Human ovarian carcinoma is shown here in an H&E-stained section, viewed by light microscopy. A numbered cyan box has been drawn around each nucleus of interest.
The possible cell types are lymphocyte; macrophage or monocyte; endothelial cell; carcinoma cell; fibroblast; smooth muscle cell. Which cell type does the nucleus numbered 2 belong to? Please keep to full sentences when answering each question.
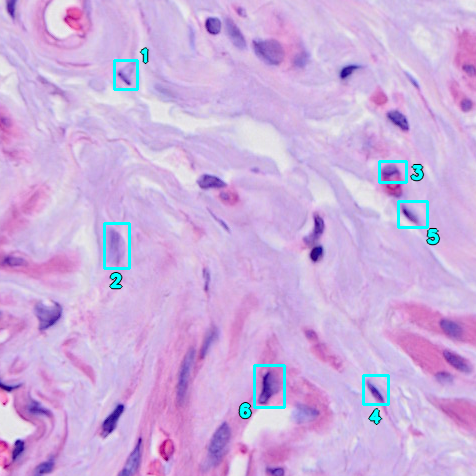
Identified by the number 2, the cell is a fibroblast.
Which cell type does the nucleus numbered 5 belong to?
The cell marked with the number 5 is a fibroblast.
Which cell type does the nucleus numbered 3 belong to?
The one numbered 3 among the marked cells is an endothelial cell.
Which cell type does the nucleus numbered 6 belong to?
Cell 6, as marked in the section, is an endothelial cell.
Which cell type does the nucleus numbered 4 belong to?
Here, the cell given the number 4 is a fibroblast.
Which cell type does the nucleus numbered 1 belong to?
Regarding cell 1, this one is a fibroblast.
